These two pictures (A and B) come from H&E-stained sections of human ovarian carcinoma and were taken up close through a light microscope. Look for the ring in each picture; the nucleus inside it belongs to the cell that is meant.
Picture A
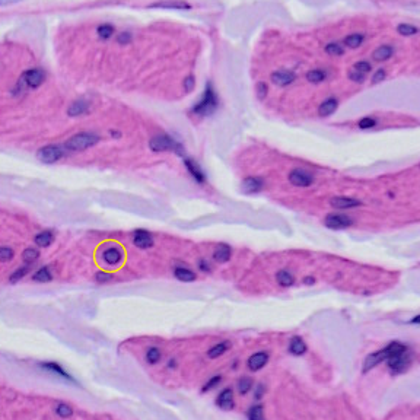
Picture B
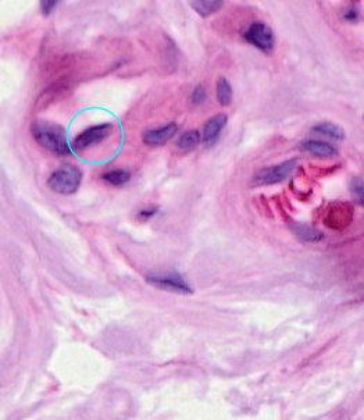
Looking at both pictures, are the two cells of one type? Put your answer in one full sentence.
No. Picture A shows a smooth muscle cell, but picture B shows an endothelial cell.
